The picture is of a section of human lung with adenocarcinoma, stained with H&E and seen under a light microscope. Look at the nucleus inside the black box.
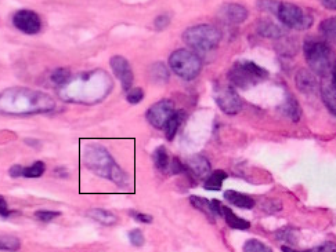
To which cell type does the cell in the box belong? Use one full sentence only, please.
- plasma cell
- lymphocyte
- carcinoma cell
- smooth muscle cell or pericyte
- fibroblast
Right, so the cell in the box is a fibroblast, to answer that.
